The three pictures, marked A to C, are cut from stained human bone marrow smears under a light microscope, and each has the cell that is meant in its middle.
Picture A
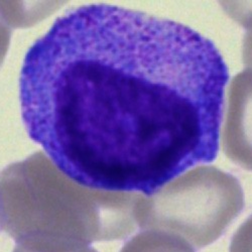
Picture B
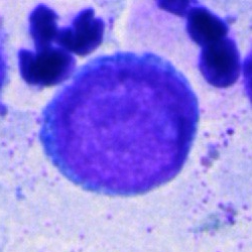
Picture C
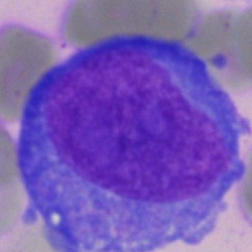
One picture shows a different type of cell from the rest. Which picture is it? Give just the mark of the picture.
A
